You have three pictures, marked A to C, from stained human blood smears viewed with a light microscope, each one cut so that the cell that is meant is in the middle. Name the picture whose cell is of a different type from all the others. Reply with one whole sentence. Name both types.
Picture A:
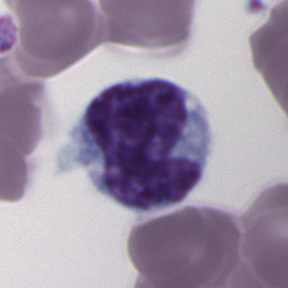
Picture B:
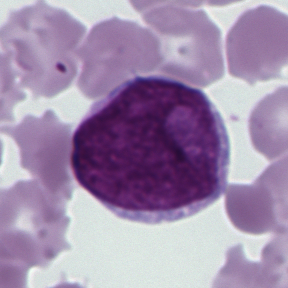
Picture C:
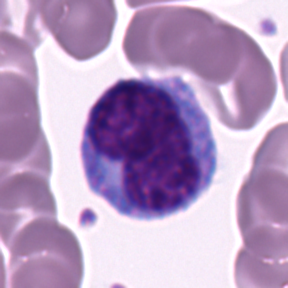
Picture B is the odd one out: it shows a myeloblast, while the others show monocytes.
